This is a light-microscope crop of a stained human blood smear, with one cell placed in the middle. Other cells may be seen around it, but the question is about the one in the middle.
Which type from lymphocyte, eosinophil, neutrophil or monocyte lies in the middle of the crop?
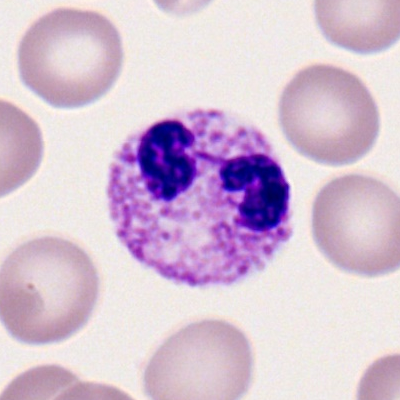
neutrophil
